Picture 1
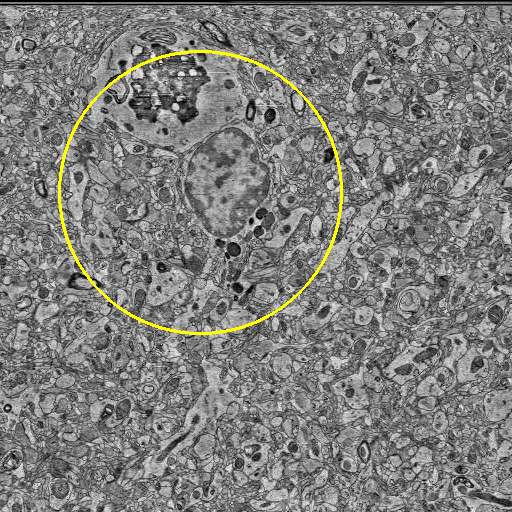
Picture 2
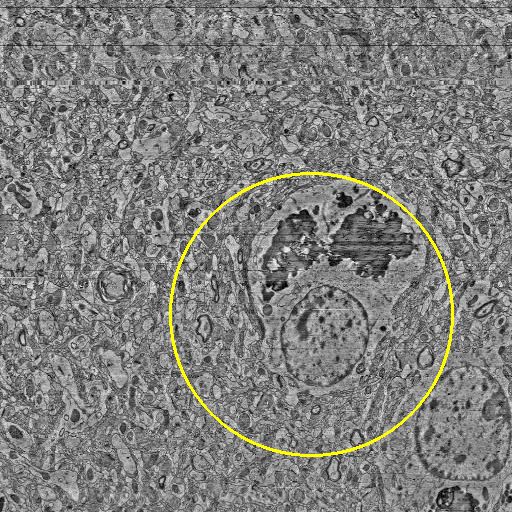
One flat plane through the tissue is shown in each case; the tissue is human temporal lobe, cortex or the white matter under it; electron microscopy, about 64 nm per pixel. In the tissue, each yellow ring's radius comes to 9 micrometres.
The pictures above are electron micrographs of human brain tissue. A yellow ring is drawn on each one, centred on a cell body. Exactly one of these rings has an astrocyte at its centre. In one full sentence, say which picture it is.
Picture 2 has it at the centre of its ring.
